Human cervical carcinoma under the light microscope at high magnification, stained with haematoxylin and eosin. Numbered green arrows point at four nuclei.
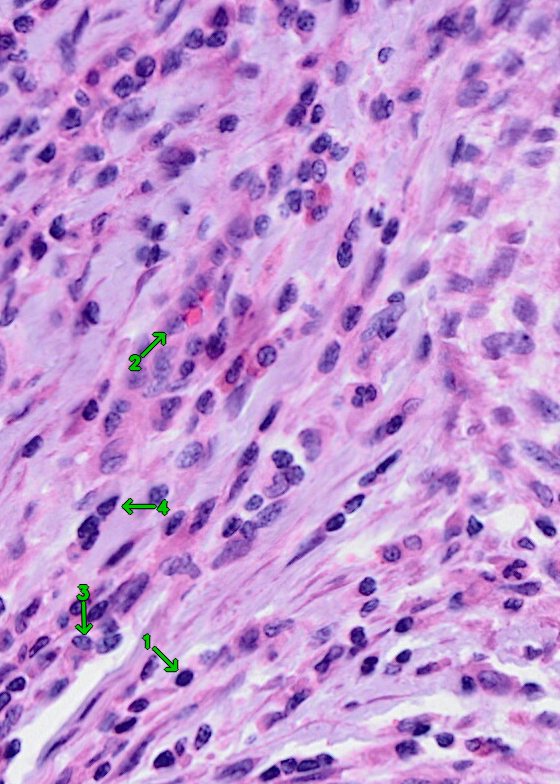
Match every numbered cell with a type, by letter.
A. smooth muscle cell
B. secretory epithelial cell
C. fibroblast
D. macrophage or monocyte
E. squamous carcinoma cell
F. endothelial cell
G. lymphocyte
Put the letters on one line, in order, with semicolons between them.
G; F; G; G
